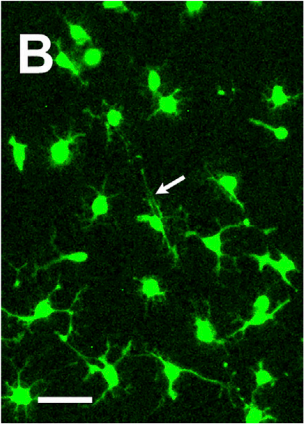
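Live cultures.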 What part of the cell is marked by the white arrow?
Cytoplasmic extensions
